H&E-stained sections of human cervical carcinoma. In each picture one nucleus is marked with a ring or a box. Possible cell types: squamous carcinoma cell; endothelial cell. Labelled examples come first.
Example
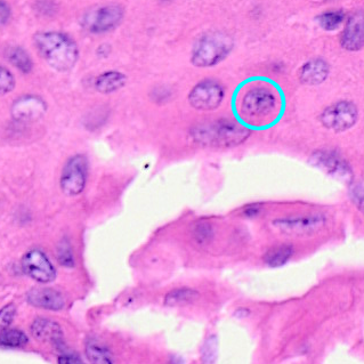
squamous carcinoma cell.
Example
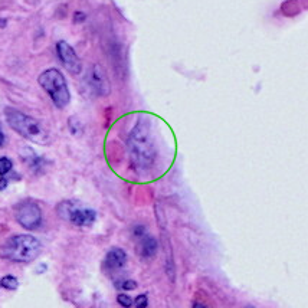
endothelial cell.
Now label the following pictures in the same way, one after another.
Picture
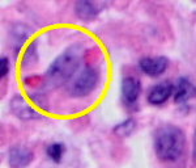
endothelial cell.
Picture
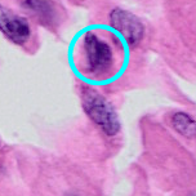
squamous carcinoma cell.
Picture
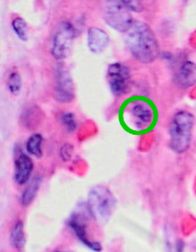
endothelial cell.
